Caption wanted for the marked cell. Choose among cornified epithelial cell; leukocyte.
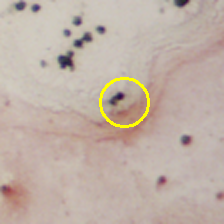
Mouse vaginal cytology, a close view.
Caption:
Ringed in yellow is a leukocyte.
